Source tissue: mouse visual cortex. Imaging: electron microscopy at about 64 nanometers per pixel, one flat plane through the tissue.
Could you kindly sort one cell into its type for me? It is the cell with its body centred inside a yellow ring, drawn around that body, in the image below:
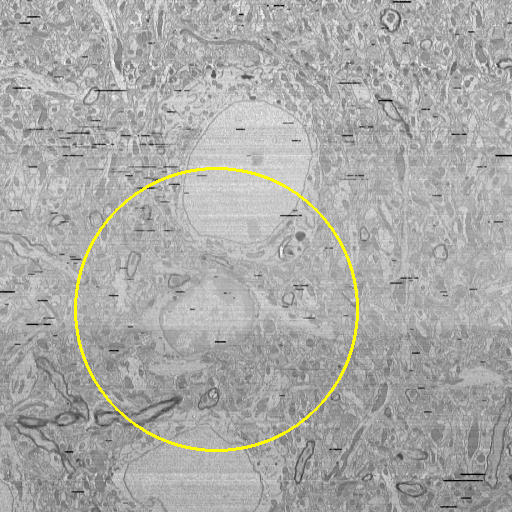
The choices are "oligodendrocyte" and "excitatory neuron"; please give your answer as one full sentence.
The cell whose body lies centred in the yellow ring here is an oligodendrocyte.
